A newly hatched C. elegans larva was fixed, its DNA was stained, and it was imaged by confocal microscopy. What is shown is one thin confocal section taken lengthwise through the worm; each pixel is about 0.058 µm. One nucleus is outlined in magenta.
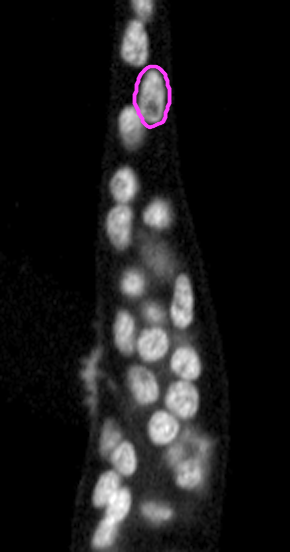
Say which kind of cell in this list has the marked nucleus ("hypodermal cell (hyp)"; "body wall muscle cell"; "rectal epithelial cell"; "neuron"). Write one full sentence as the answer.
What is marked is the nucleus of a hypodermal cell (hyp).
